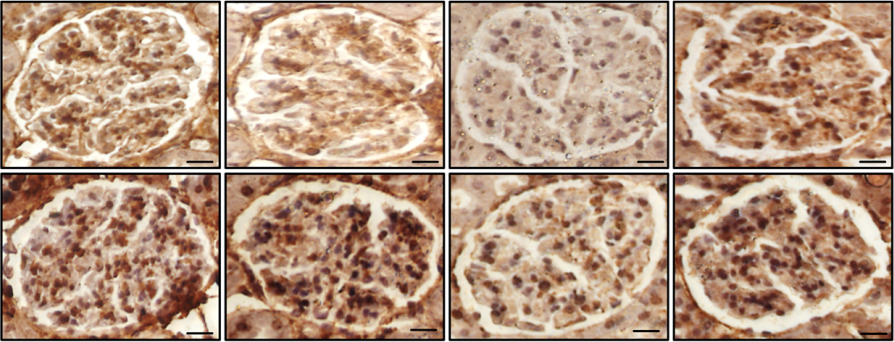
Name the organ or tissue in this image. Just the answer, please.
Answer: glomerular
